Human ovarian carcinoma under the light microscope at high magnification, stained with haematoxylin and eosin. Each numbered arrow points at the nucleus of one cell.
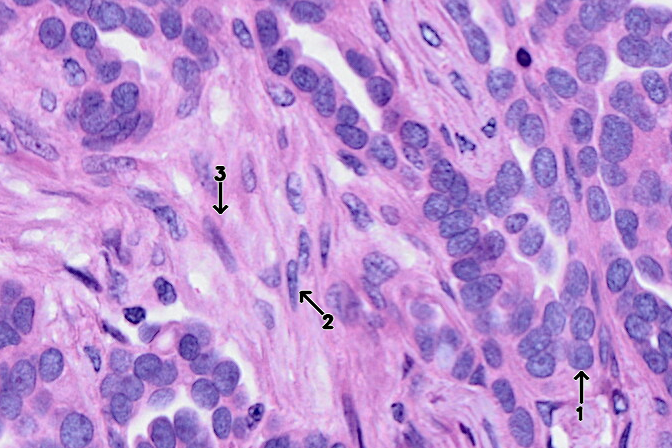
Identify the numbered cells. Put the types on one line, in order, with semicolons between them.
carcinoma cell; fibroblast; fibroblast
